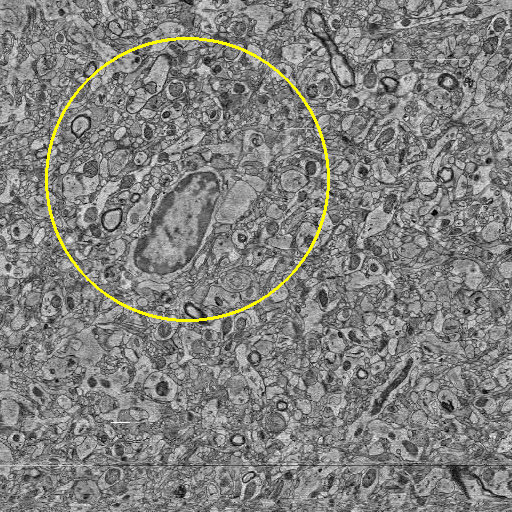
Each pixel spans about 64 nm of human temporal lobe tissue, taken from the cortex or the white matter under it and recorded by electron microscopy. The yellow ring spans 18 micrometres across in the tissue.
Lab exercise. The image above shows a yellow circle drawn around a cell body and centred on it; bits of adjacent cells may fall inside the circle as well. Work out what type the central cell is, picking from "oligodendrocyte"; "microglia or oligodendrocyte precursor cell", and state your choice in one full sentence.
In the image above, the cell at the centre of the yellow circle is a microglial cell or oligodendrocyte precursor cell.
